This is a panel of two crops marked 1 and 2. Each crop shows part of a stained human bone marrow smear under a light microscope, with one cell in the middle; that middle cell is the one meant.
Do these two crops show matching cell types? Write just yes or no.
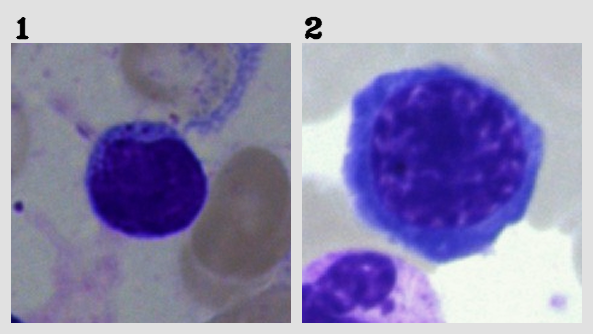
no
